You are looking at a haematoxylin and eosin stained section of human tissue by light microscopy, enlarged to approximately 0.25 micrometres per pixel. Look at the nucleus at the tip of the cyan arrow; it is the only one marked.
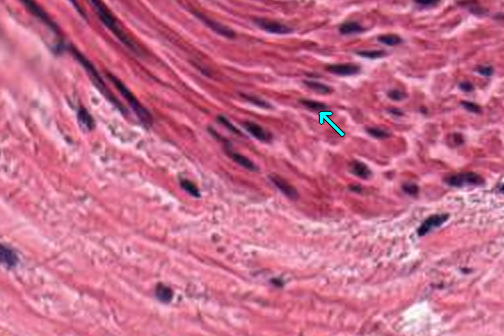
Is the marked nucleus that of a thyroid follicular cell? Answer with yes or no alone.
no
